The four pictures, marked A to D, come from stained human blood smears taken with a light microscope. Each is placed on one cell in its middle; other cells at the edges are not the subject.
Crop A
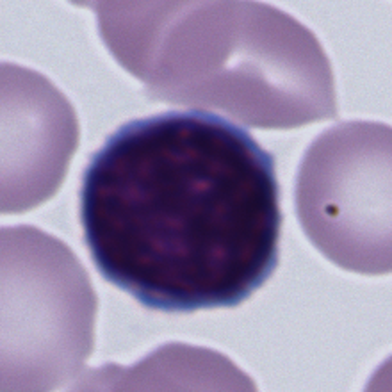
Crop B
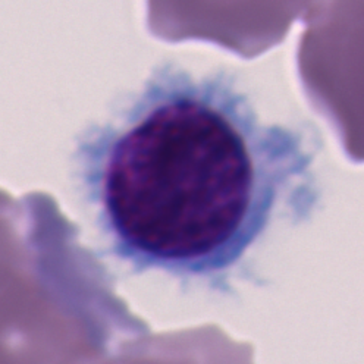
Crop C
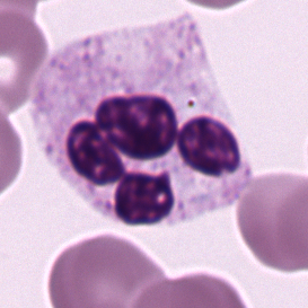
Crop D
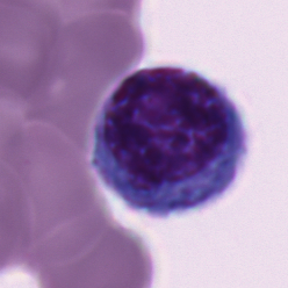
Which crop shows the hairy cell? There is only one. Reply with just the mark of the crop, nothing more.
B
